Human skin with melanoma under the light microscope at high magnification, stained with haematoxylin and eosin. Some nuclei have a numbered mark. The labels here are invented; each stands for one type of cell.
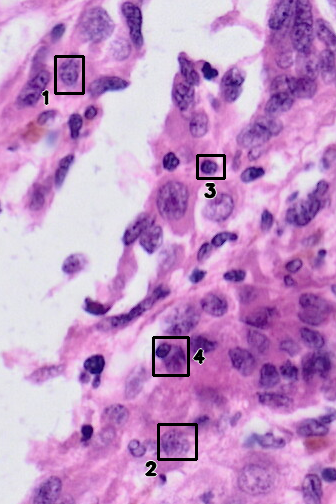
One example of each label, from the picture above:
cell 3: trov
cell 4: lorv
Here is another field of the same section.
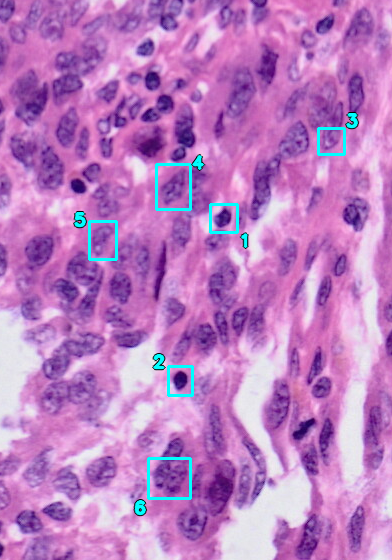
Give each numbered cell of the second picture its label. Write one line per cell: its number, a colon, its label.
1: trov
2: trov
3: lorv
4: lorv
5: lorv
6: lorv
